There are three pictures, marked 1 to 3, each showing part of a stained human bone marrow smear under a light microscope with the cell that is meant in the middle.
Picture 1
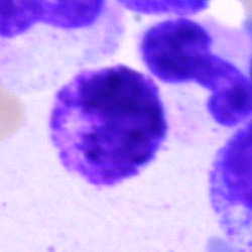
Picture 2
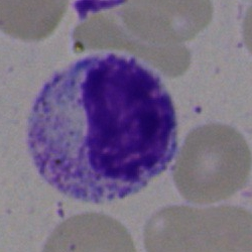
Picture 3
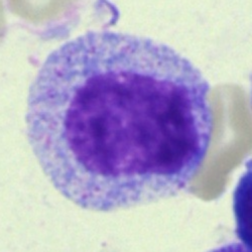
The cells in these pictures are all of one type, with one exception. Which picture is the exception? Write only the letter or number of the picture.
1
